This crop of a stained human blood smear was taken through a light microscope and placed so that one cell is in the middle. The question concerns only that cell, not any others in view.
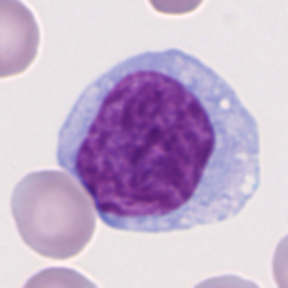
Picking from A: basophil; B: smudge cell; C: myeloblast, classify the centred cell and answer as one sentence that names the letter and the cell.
The middle of the crop contains a myeloblast, so option C is right.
